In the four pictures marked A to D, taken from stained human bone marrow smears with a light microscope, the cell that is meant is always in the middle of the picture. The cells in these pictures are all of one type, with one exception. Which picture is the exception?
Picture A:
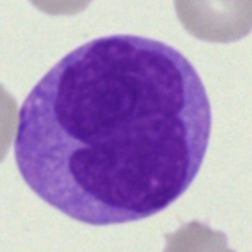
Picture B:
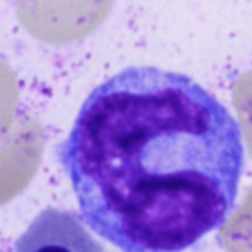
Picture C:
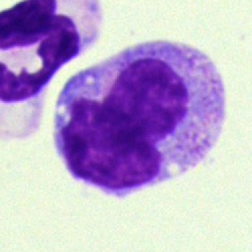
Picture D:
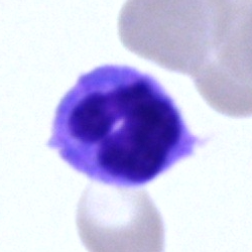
A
